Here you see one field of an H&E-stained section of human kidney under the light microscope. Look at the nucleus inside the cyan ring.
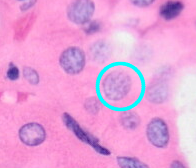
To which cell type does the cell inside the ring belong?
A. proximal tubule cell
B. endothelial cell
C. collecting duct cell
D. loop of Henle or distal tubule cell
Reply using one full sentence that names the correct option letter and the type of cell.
Option D is the right choice, for the cell inside the ring is a loop of Henle or distal tubule cell.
